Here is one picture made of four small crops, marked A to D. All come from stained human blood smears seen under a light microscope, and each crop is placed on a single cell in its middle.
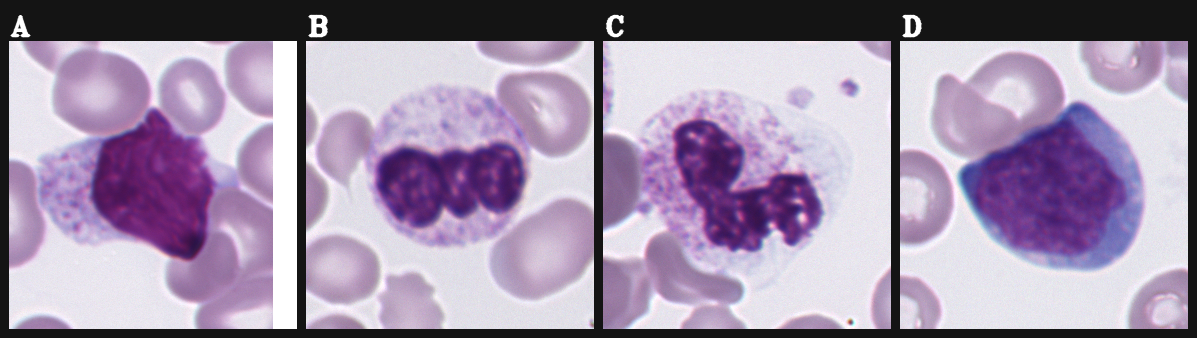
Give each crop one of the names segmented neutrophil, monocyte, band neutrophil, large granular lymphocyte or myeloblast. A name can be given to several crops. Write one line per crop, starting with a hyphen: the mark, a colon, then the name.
- A: large granular lymphocyte
- B: segmented neutrophil
- C: band neutrophil
- D: myeloblast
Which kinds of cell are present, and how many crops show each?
large granular lymphocyte: 1
segmented neutrophil: 1
band neutrophil: 1
myeloblast: 1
